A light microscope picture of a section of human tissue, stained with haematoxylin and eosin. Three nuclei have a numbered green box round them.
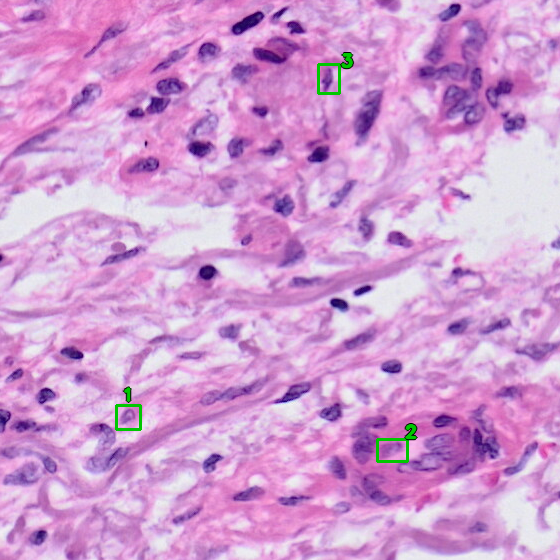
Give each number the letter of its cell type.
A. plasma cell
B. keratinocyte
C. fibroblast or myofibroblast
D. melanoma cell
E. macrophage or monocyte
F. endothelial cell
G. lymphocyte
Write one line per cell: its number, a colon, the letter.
1: E
2: F
3: C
